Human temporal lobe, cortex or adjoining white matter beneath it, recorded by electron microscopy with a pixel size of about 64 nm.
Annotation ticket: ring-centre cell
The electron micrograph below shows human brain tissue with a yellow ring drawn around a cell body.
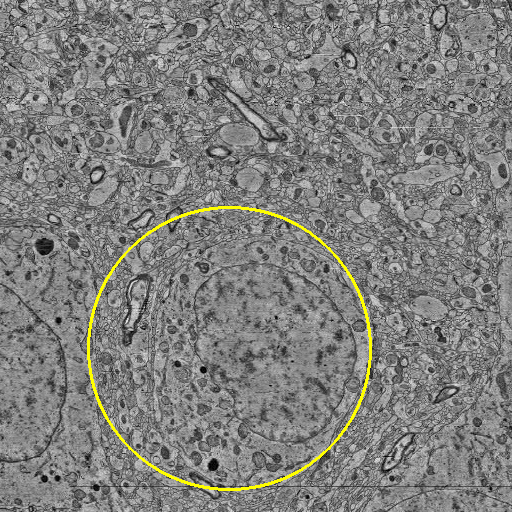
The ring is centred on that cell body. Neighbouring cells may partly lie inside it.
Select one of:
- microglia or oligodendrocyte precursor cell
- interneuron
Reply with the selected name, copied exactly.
interneuron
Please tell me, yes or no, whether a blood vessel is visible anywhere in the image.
No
